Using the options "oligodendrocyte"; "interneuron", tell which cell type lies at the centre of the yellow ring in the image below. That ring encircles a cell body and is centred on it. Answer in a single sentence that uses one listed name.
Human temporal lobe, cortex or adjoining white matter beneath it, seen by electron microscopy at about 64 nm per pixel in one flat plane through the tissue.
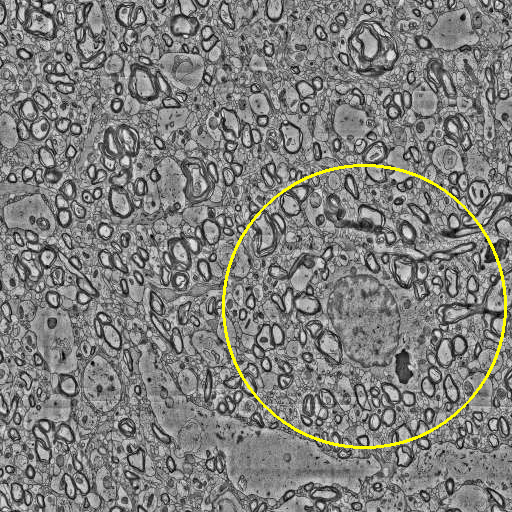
At the centre of the yellow ring lies the body of an oligodendrocyte.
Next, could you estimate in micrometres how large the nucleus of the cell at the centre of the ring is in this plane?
About 6 by 5 micrometres in this plane.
